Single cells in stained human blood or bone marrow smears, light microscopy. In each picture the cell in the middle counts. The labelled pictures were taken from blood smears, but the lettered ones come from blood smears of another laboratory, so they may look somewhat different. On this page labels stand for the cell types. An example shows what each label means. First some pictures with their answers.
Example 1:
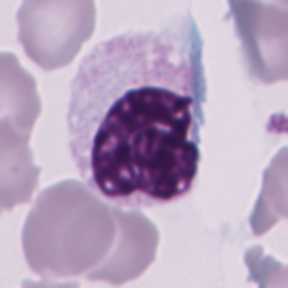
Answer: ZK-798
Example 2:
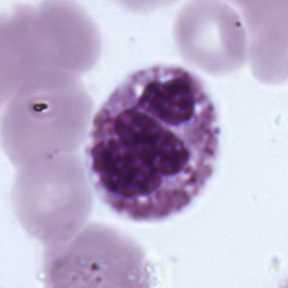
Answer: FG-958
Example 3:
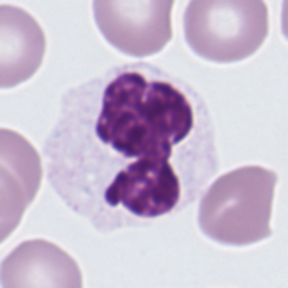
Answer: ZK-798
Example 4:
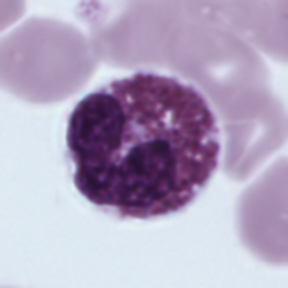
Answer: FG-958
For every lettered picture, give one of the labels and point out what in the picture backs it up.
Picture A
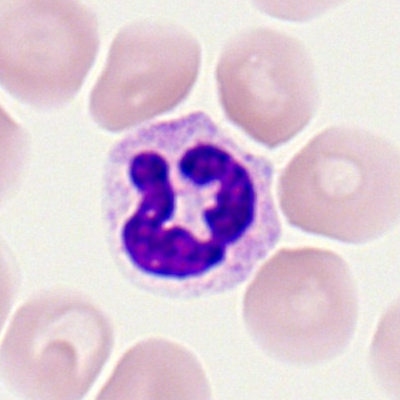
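Answer: ZK-798. Fine lilac granules are scattered through the cytoplasm.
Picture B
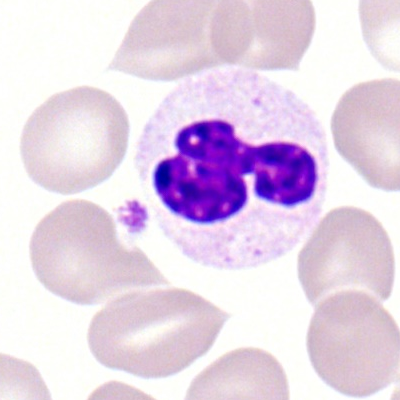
Answer: ZK-798. Fine lilac granules are scattered through the cytoplasm.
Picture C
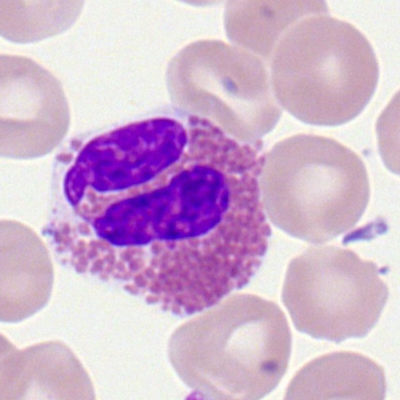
Answer: FG-958. The granules are coarse and fairly uniform in size.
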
